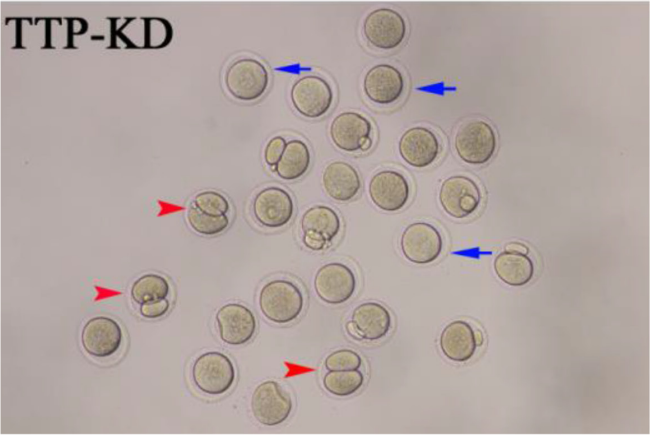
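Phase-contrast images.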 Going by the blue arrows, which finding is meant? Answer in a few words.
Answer: Oocytes that fail to extrude polar bodies.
